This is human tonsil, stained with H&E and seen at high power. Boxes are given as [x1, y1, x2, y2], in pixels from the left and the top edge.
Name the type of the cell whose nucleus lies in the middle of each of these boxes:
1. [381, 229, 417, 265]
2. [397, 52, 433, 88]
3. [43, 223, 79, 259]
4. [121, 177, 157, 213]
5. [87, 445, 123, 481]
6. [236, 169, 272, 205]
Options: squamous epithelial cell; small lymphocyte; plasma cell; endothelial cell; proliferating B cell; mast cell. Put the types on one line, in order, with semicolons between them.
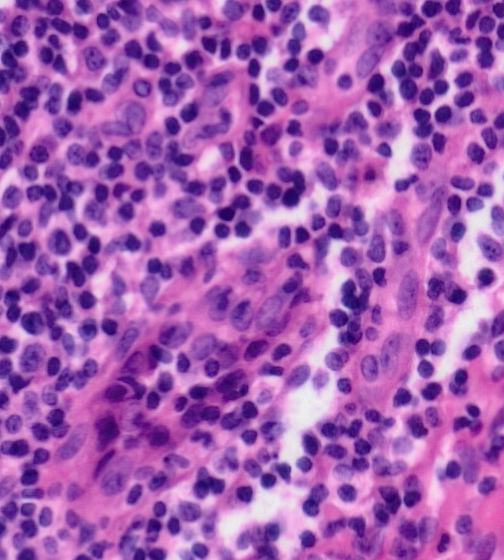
endothelial cell; small lymphocyte; proliferating B cell; small lymphocyte; endothelial cell; small lymphocyte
